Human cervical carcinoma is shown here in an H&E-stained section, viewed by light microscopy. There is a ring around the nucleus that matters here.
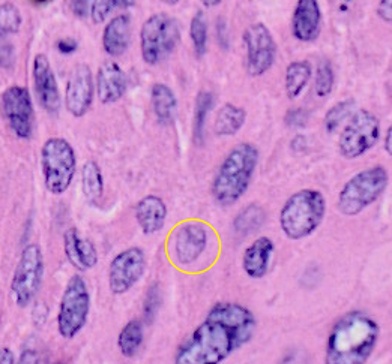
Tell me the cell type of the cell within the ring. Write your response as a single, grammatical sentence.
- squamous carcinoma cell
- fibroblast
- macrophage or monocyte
By its classification, the cell within the ring is a squamous carcinoma cell.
